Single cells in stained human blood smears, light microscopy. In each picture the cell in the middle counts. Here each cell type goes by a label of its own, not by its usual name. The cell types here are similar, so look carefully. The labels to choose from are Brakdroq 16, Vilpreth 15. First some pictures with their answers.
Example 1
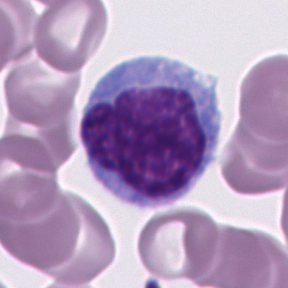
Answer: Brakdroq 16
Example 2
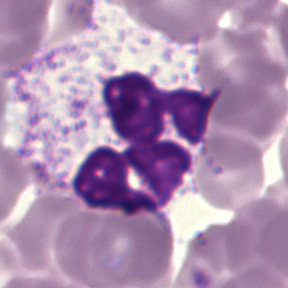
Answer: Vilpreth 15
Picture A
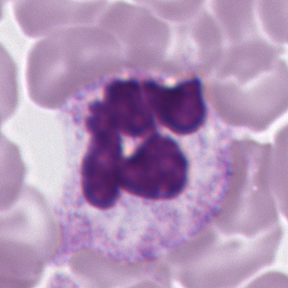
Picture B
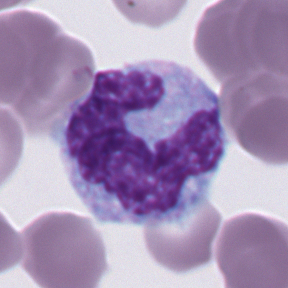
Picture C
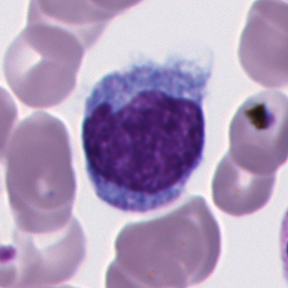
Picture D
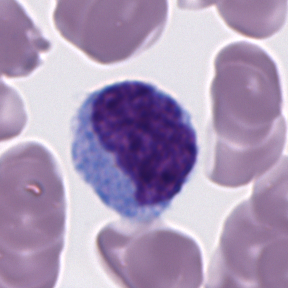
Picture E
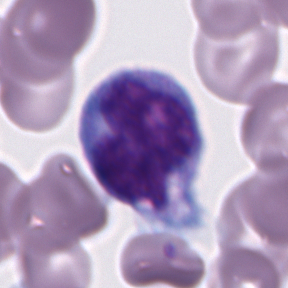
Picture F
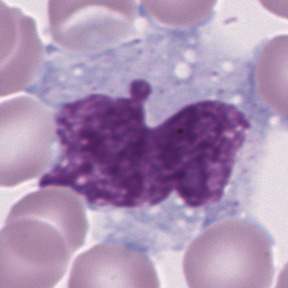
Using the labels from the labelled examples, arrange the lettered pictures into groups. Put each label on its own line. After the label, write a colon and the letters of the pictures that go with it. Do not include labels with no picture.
Brakdroq 16: B, C, D, E, F
Vilpreth 15: A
